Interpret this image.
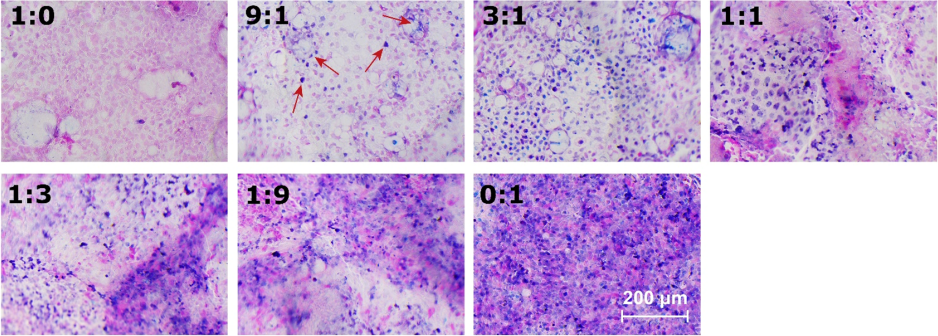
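Seven low-magnification fields show sheets of densely packed epithelial cells stained pink, with scattered round pale gaps in some fields. Laid over the pink cell layers are blue to purple patches, from a few small blue dots, some marked by red arrows, in one field to broad confluent purple areas that cover much of the sheet in the later fields. The first field is almost wholly pink with little blue.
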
